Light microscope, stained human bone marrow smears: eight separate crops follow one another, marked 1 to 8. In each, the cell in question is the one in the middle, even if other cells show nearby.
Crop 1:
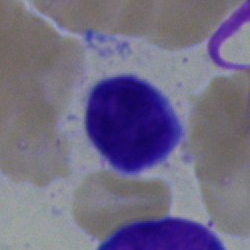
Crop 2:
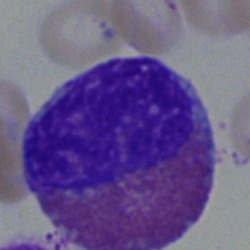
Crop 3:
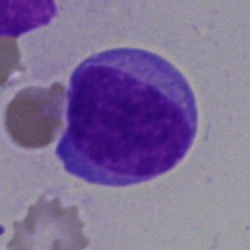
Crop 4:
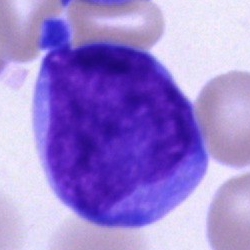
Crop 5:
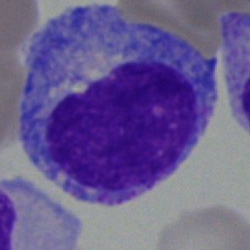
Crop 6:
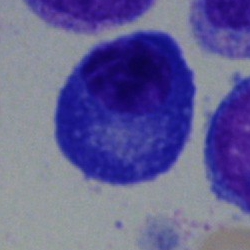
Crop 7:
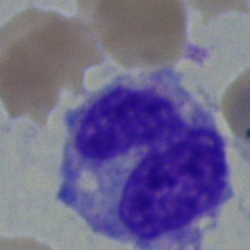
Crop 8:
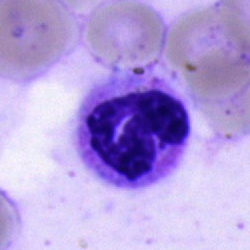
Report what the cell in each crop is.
1: lymphocyte
2: eosinophil
3: blast
4: blast
5: promyelocyte
6: plasma cell
7: monocyte
8: segmented neutrophil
